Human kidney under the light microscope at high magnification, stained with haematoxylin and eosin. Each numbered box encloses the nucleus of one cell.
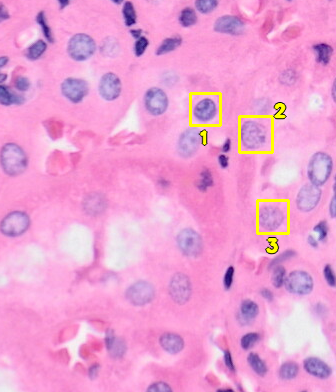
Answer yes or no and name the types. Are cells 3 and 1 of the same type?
No, cell 3 is a proximal tubule cell, and cell 1, for its part, is a collecting duct cell.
